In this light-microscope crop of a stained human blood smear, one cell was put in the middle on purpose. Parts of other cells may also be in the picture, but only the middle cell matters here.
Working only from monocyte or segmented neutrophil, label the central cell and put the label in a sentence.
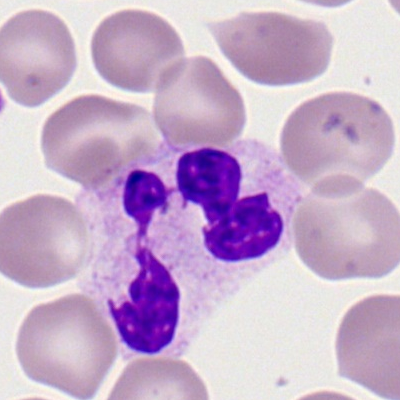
What sits at the centre of this crop is a segmented neutrophil.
